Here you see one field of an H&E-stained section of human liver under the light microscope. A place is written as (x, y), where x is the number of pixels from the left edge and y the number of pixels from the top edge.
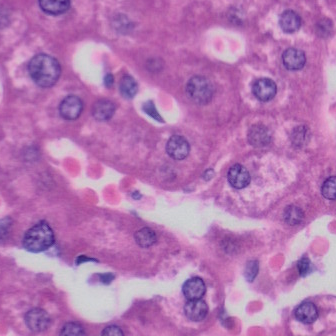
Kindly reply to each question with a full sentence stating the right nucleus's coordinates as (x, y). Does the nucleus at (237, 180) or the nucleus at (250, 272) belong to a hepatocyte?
Of the two options, the nucleus at (237, 180) is the one that belongs to a hepatocyte.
